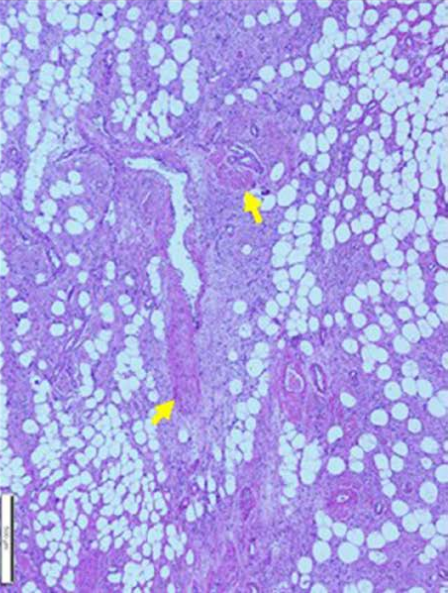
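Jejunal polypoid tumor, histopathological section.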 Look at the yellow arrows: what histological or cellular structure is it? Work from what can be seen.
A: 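Smooth muscle bundles. Elongated dense pink fascicles of spindle-shaped cells. The bundles lie among clear fat cells near vessel profiles.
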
